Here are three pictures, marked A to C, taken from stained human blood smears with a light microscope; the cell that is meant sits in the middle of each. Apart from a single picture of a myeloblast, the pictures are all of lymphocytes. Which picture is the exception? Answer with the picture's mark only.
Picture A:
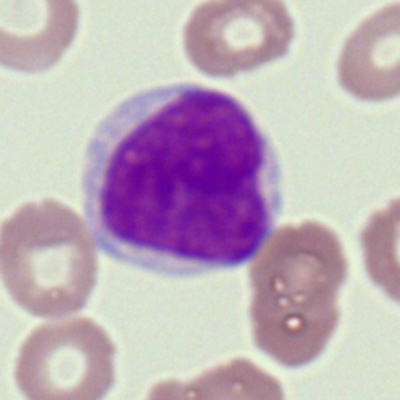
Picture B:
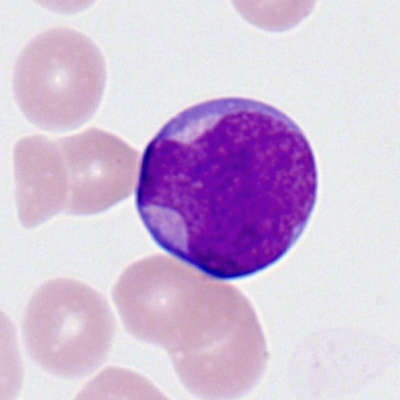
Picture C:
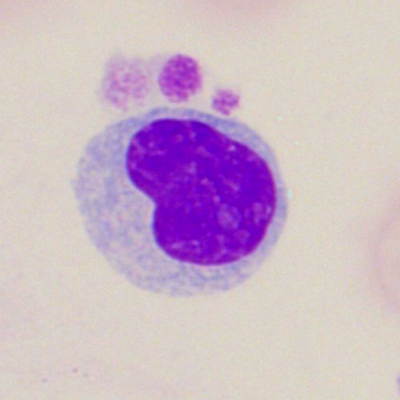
B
